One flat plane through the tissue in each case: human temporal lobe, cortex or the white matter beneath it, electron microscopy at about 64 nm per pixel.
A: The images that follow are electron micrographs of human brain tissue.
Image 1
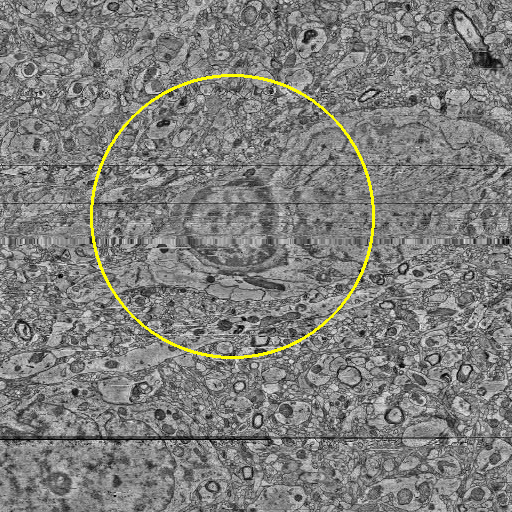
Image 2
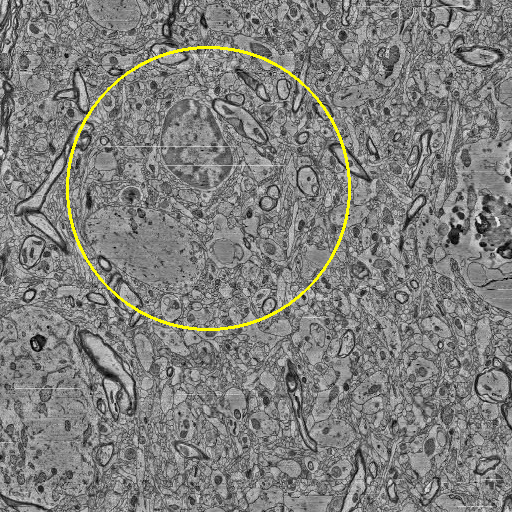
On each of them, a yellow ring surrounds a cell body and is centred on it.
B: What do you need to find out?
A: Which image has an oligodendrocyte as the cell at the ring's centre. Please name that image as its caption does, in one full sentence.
Image 1 is the one whose ring has the sought cell at its centre.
